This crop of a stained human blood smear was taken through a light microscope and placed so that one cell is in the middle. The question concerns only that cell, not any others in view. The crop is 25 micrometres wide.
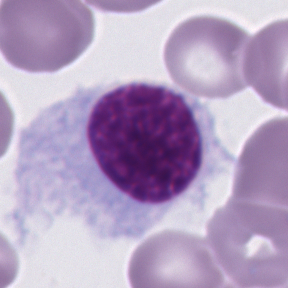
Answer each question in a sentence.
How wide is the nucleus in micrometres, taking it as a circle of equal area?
The nucleus is about 10 micrometres across.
